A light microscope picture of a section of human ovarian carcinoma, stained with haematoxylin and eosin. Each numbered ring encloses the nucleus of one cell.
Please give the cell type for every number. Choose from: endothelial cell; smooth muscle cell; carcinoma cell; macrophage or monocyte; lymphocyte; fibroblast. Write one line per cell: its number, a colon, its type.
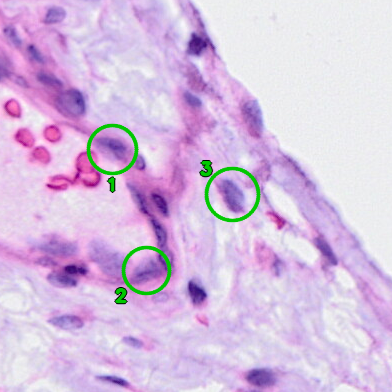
1: endothelial cell
2: endothelial cell
3: fibroblast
